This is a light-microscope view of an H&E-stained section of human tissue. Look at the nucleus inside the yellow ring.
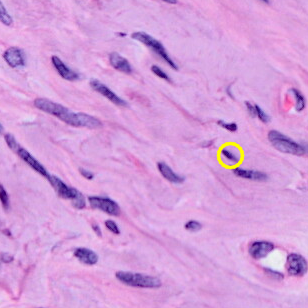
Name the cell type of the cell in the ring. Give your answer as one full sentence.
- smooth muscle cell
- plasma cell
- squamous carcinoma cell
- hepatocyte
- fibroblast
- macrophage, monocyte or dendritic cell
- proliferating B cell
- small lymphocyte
As for its identity, the cell in the ring is a fibroblast.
